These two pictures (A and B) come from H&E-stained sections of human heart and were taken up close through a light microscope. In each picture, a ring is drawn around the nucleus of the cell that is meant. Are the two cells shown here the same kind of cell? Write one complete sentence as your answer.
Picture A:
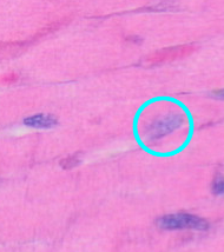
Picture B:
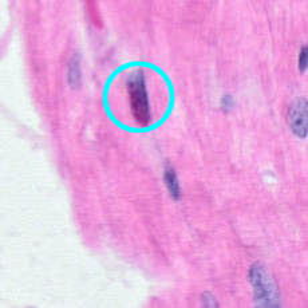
No, picture A shows a cardiomyocyte and picture B shows an endothelial cell.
